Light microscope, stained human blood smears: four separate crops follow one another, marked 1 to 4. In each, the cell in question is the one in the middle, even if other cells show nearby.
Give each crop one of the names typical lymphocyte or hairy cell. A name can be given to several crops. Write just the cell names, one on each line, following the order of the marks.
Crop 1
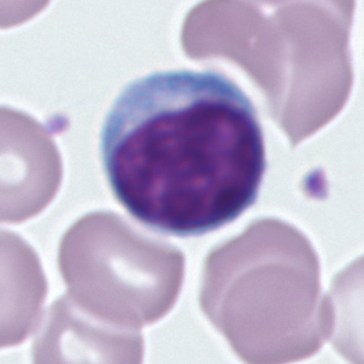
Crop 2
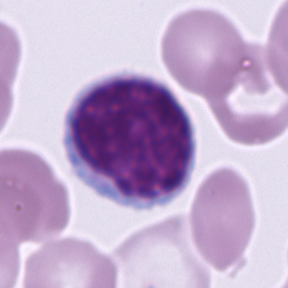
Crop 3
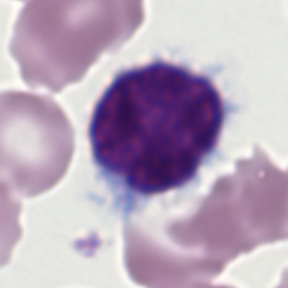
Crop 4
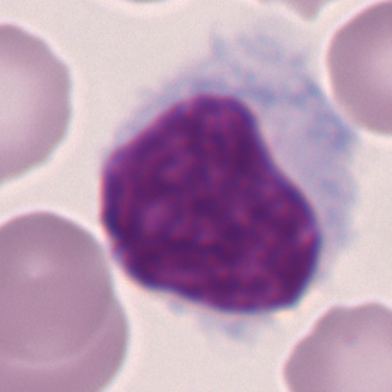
typical lymphocyte
typical lymphocyte
hairy cell
hairy cell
